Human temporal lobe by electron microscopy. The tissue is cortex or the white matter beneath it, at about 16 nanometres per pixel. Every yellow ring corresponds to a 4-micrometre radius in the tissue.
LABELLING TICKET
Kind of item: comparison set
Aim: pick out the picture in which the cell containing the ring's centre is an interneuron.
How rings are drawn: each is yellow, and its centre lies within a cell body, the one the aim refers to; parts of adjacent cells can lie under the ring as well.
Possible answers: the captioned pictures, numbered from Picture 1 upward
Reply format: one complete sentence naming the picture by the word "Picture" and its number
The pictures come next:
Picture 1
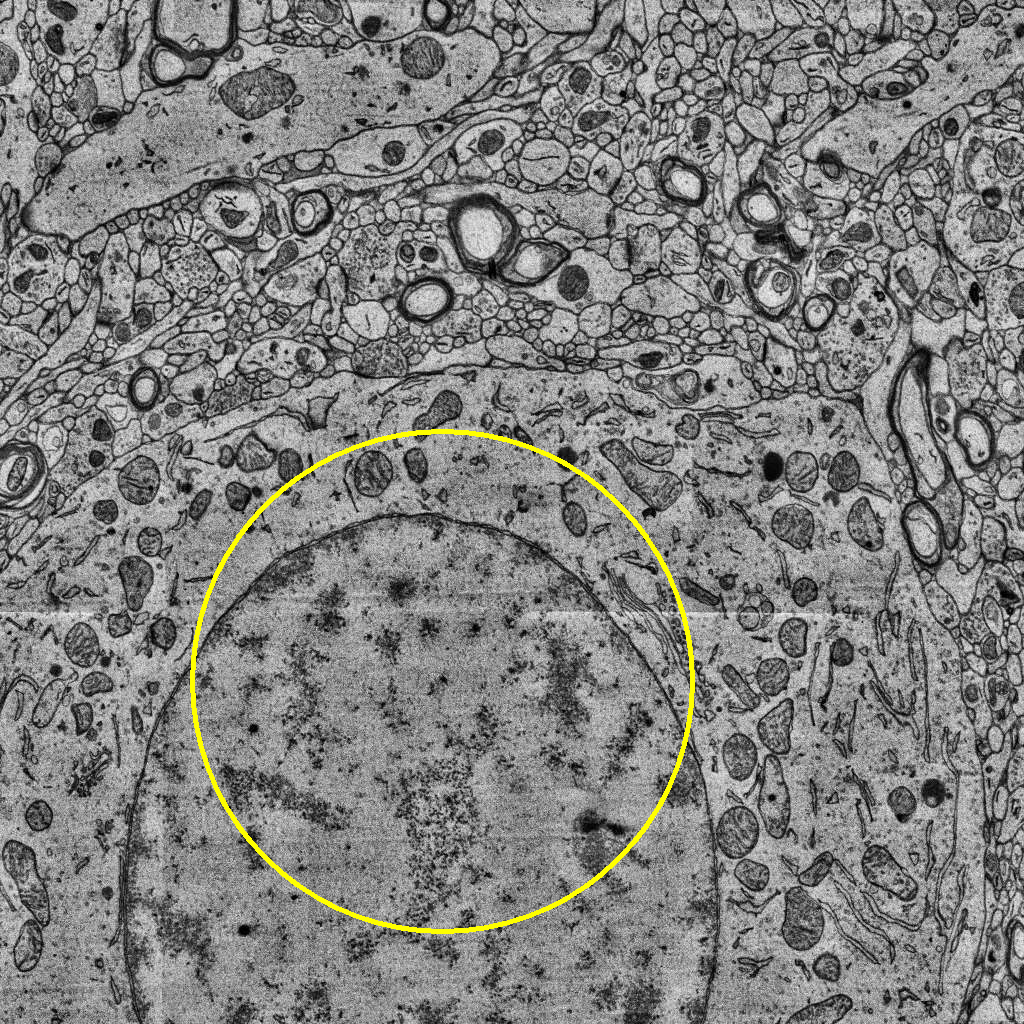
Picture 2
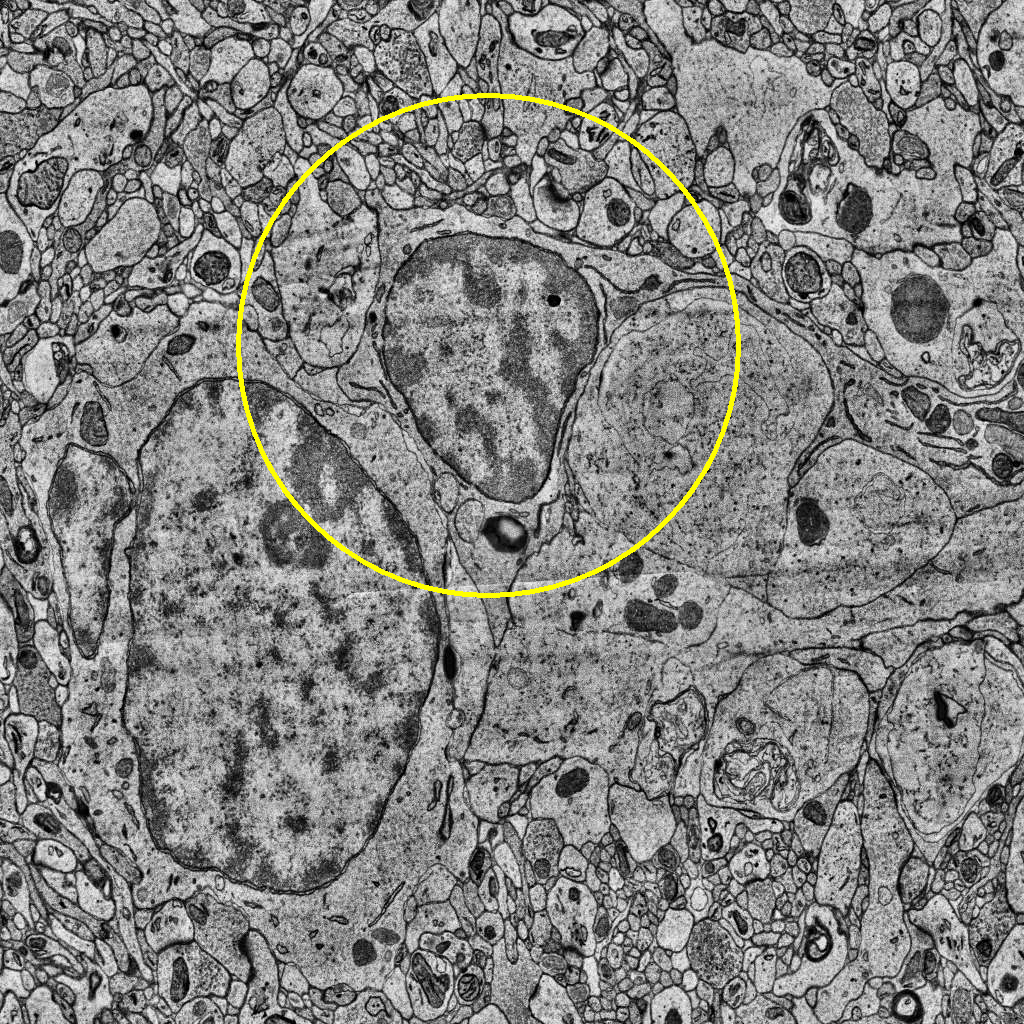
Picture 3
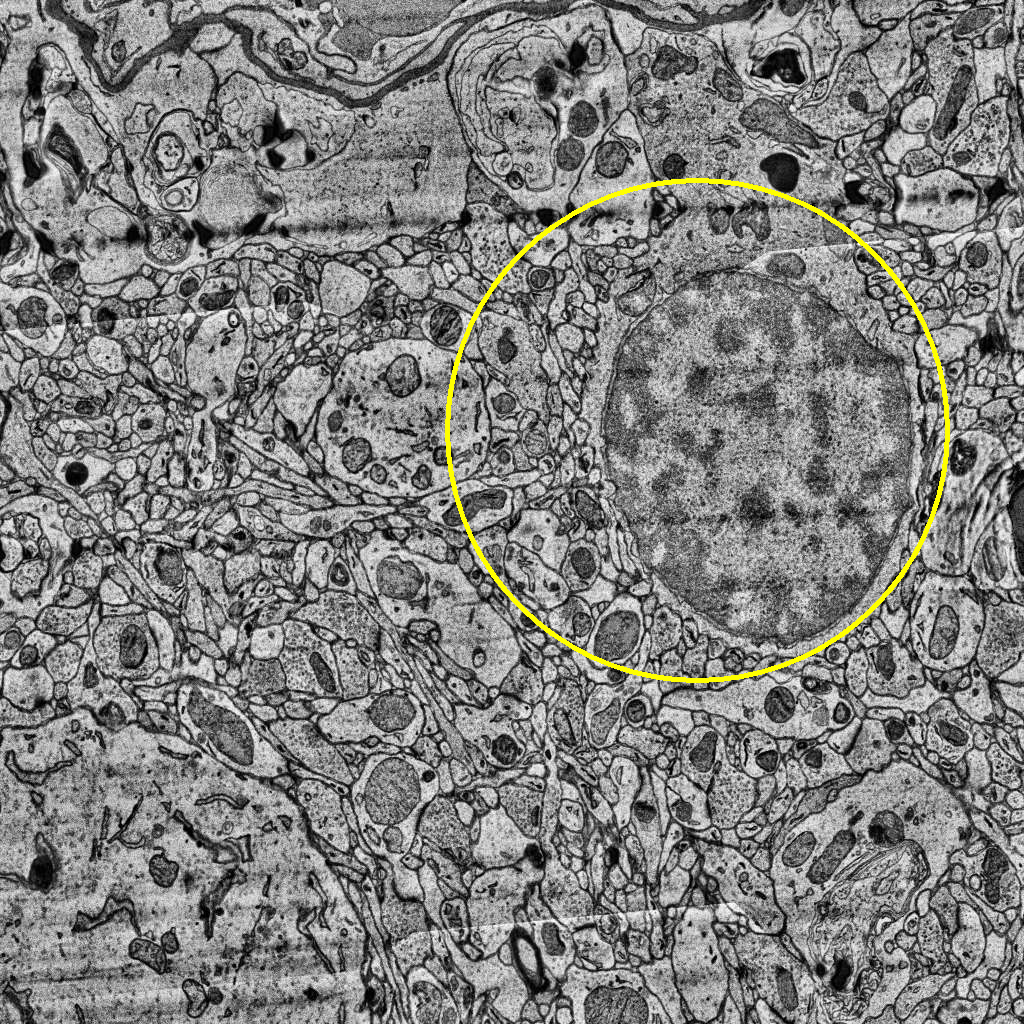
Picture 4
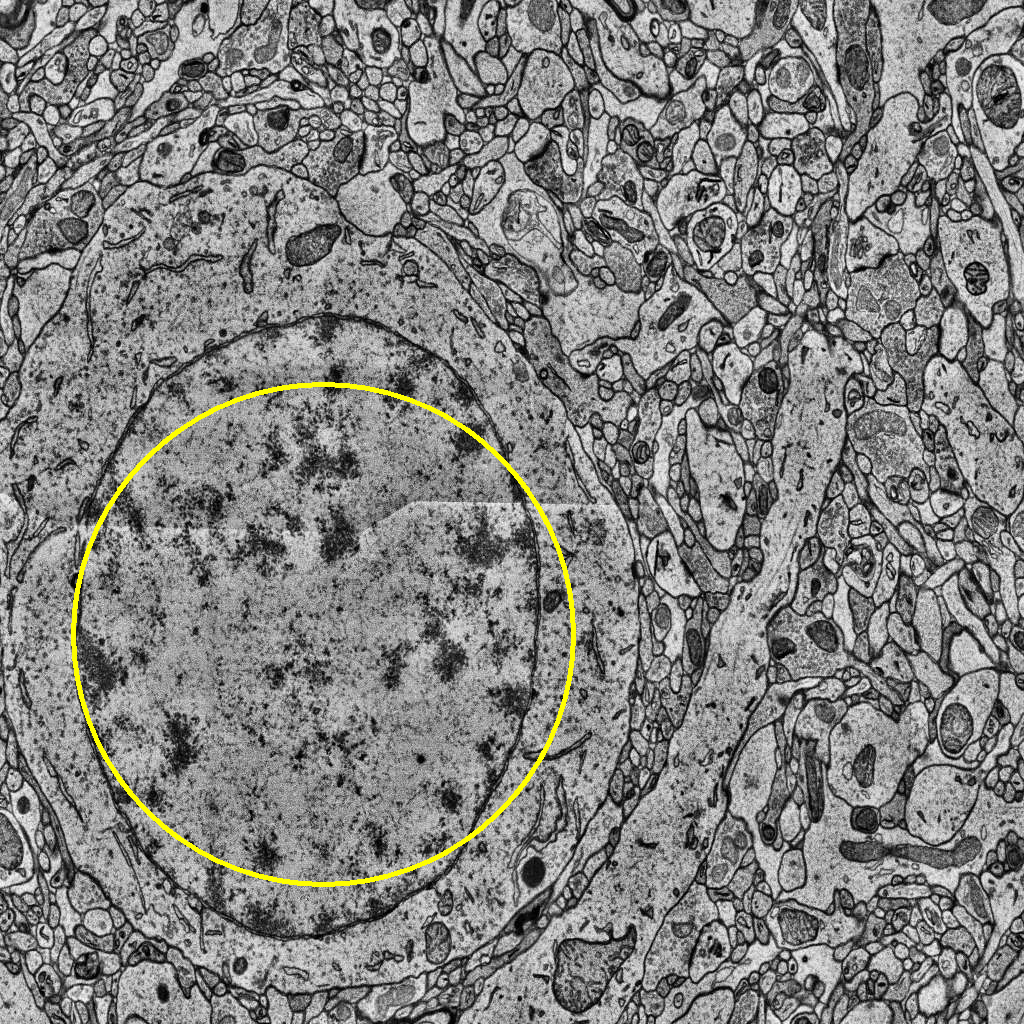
The cell containing the middle of the yellow ring in Picture 1 is the requested one.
